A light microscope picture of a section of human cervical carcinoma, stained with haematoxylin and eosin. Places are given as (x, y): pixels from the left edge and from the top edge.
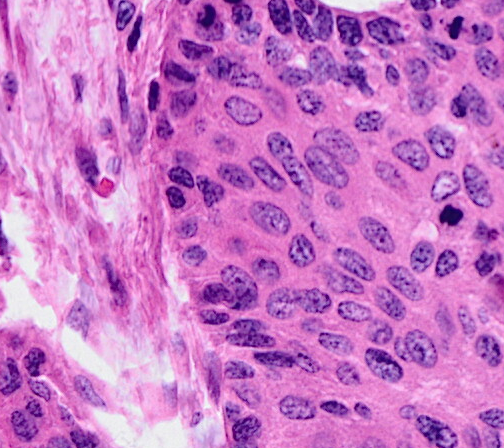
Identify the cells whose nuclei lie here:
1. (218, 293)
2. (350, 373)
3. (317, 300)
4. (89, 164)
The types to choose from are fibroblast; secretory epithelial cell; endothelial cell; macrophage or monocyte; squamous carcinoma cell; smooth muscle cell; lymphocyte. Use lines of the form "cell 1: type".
cell 1: squamous carcinoma cell
cell 2: squamous carcinoma cell
cell 3: squamous carcinoma cell
cell 4: endothelial cell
